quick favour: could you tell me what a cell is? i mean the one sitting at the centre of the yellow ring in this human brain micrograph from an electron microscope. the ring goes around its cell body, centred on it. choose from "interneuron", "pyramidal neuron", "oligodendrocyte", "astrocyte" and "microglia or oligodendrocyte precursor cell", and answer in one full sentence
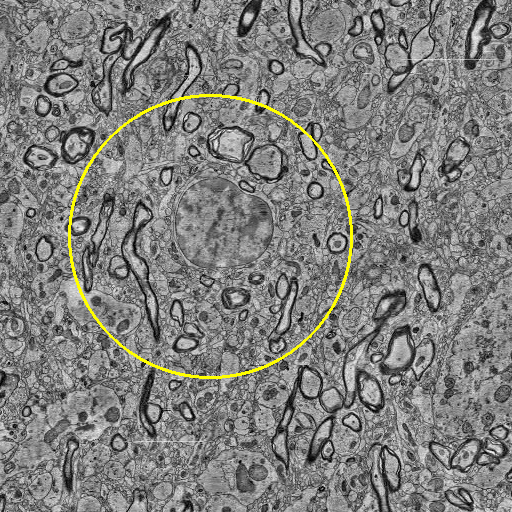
That's a microglial cell or oligodendrocyte precursor cell, the cell sitting at the centre of the yellow ring.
